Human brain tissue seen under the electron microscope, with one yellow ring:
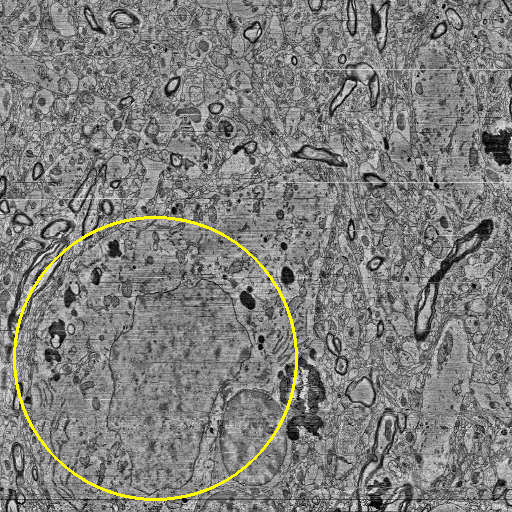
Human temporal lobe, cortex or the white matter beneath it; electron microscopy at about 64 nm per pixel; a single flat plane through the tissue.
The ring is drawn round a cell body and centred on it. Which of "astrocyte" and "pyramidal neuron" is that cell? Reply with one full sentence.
The picture shows a pyramidal neuron at the very centre of the yellow ring.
